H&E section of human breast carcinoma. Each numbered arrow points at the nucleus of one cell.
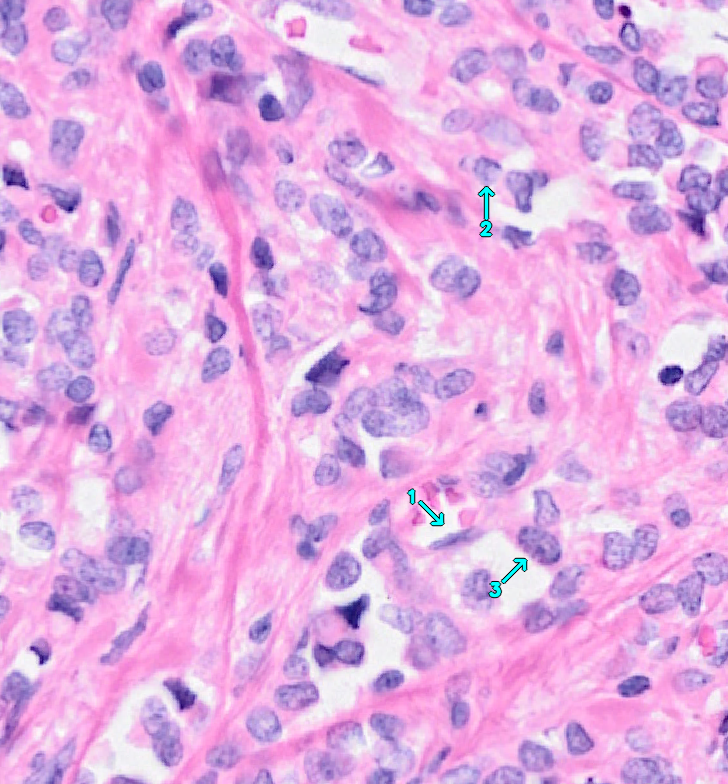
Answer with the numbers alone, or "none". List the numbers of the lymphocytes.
none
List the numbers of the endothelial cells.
1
